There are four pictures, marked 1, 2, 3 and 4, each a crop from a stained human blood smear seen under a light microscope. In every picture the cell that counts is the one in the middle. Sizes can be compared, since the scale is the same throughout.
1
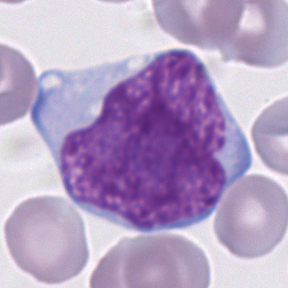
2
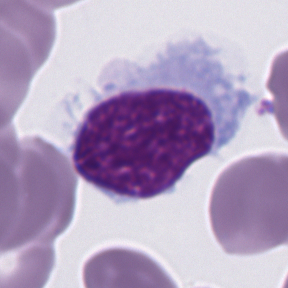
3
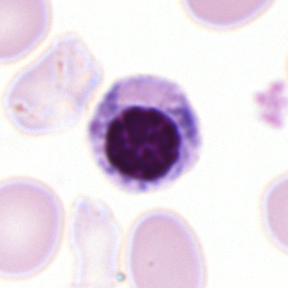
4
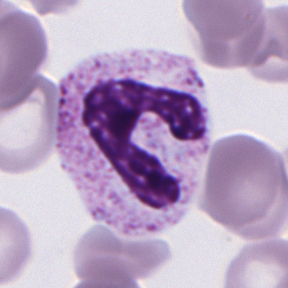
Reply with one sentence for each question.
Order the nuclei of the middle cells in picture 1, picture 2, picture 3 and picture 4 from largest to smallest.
Going down, they run 1, 2, 4, 3.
